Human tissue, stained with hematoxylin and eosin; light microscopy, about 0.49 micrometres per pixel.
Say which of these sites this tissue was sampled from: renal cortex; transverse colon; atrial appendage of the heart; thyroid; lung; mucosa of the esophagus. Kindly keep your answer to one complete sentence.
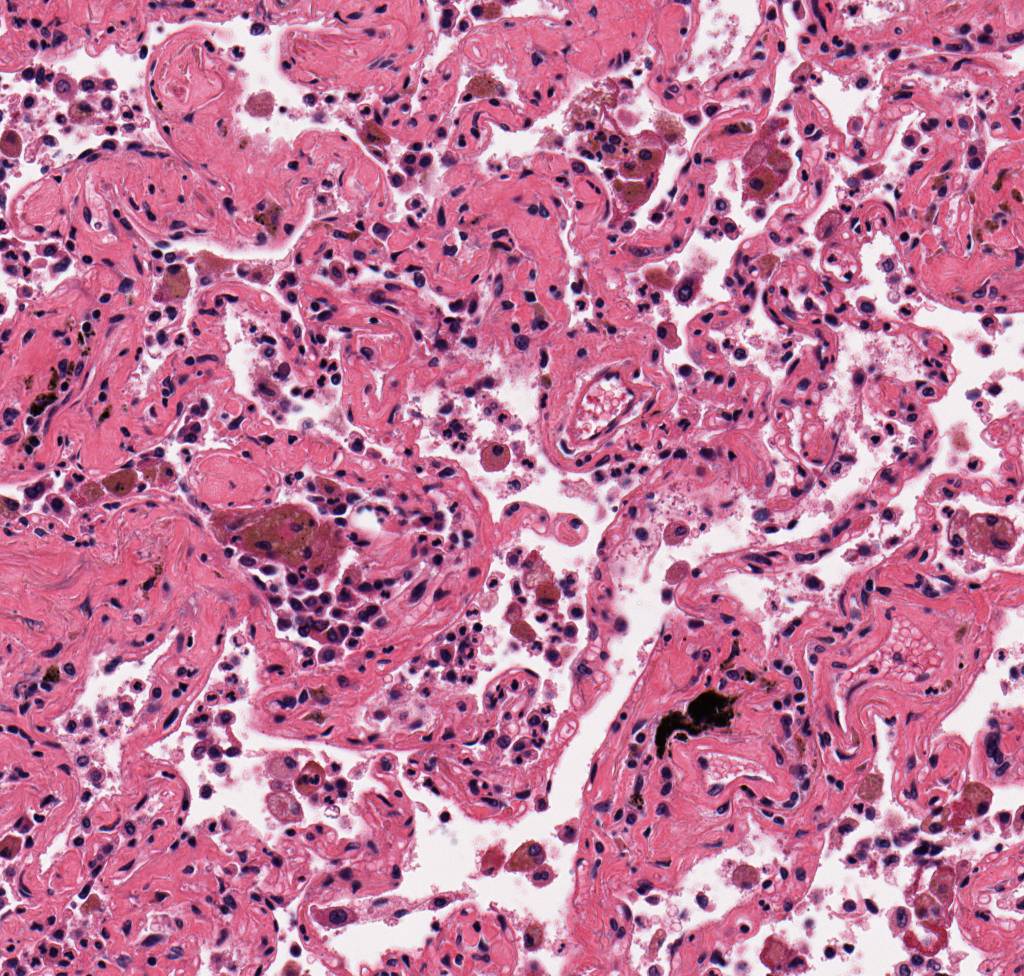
This is a tissue section sampled from the lung.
